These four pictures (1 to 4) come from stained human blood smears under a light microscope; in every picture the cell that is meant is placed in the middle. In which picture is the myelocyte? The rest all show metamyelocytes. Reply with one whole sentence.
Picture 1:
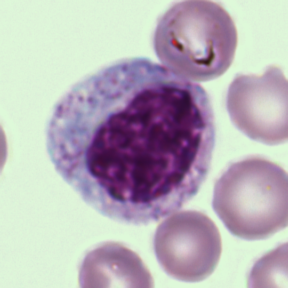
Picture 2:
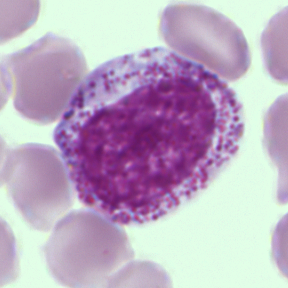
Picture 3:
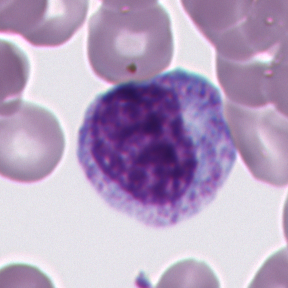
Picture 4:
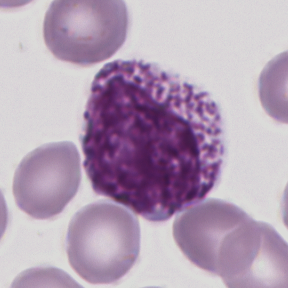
The picture with the myelocyte is 2.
